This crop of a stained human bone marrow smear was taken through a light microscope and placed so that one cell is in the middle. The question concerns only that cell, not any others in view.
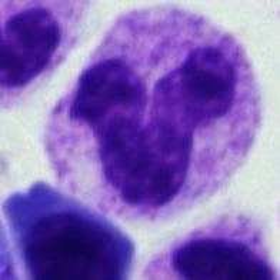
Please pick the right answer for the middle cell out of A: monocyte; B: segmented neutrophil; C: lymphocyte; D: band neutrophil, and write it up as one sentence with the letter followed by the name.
Option B is right in identifying the central cell as a segmented neutrophil.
